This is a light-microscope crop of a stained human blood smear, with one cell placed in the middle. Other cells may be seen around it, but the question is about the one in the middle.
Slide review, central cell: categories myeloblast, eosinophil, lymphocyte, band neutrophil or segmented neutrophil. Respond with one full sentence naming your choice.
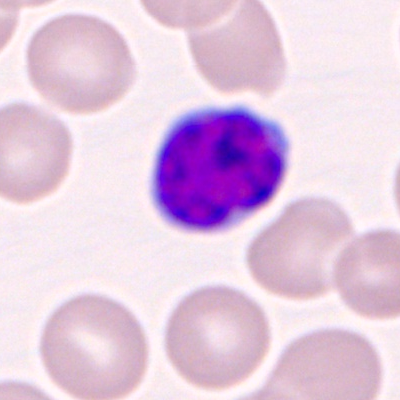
The cell at the heart of this crop is a lymphocyte.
